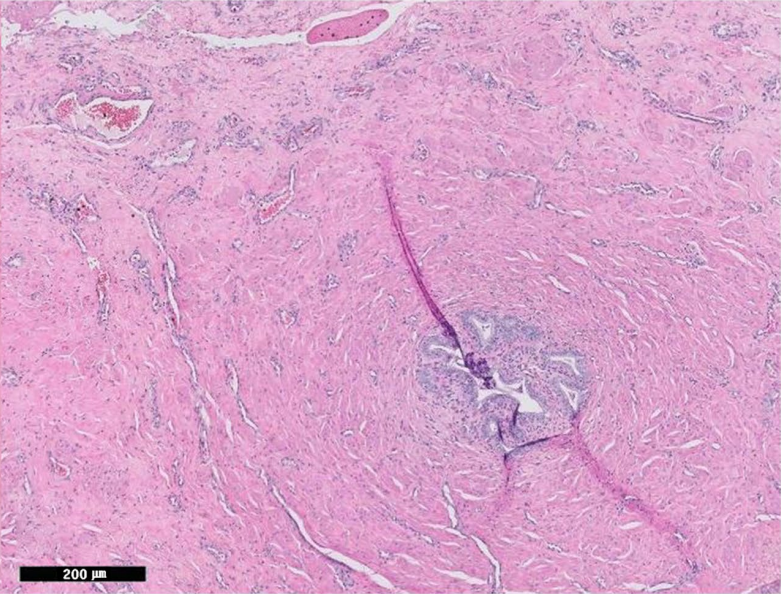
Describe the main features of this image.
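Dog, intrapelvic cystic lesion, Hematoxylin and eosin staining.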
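Dense pink fibromuscular stroma with interlacing bundles of spindle-shaped cells surrounds a small focus of glandular ductules near the center. The ductules have irregular, branching lumens lined by a layer of epithelial cells with darker purple nuclei, and thin-walled blood vessels containing red blood cells run through the upper part of the stroma.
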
